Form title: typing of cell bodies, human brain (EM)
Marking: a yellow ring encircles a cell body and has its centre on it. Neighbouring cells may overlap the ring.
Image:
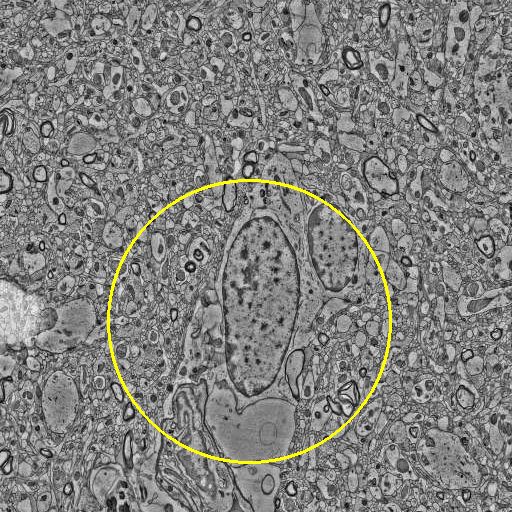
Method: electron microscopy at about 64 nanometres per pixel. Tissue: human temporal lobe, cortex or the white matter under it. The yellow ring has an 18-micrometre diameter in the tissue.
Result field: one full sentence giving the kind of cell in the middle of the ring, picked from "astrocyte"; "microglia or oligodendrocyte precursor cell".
In the picture, the ring is centred on a microglial cell or oligodendrocyte precursor cell, whose cell body it encircles.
